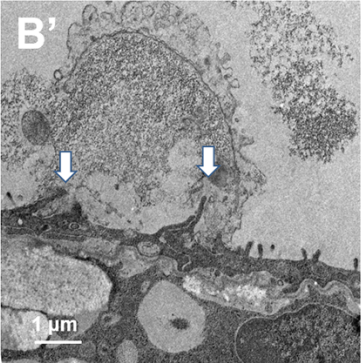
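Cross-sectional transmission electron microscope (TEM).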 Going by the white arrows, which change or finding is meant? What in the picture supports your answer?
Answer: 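Outer epithelial membrane defects. The arrows point to where the surface membrane of the outermost cell layer is interrupted. A rounded mass of granular material bulges out from the surface at the arrows.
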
